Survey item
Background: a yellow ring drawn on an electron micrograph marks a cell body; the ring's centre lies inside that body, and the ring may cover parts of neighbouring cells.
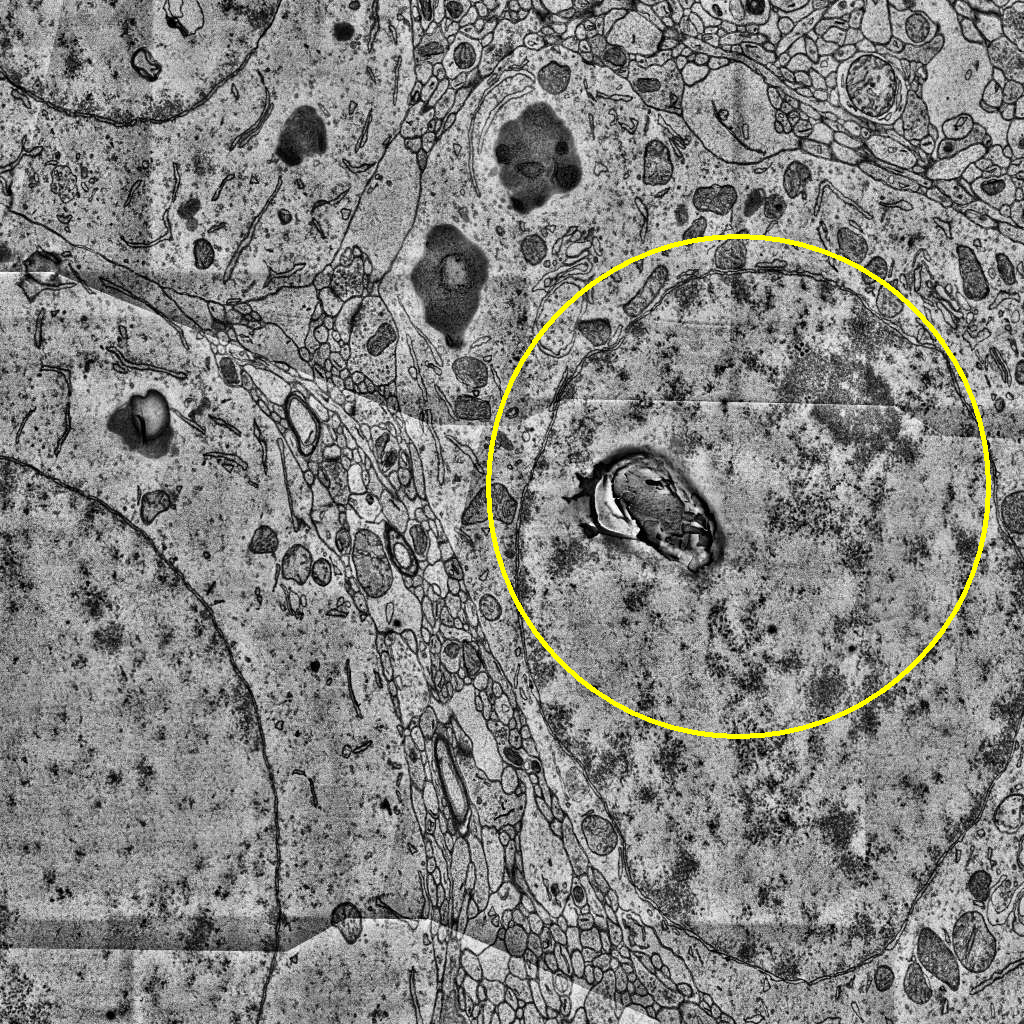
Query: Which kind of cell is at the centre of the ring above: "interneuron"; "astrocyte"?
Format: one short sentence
The cell in the middle of the ring is an interneuron.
